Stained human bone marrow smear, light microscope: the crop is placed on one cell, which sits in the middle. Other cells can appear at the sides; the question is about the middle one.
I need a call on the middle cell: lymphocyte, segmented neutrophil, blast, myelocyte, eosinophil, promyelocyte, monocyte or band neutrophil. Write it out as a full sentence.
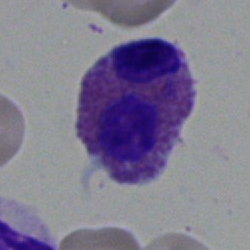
For this crop, the central cell is an eosinophil.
